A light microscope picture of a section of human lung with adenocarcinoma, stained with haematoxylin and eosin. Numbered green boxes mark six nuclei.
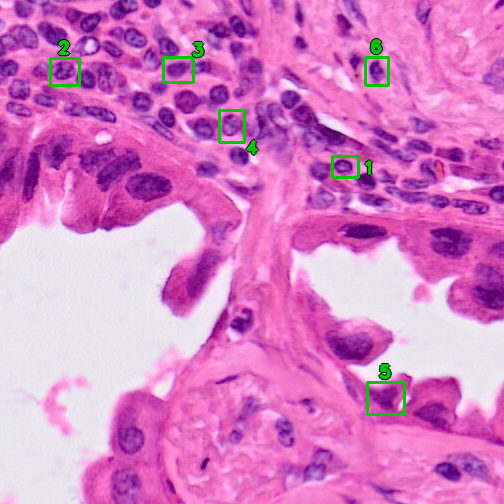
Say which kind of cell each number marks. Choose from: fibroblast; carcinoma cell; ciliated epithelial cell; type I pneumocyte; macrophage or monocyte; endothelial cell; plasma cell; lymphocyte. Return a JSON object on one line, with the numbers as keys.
{"1": "lymphocyte", "2": "lymphocyte", "3": "lymphocyte", "4": "lymphocyte", "5": "carcinoma cell", "6": "plasma cell"}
